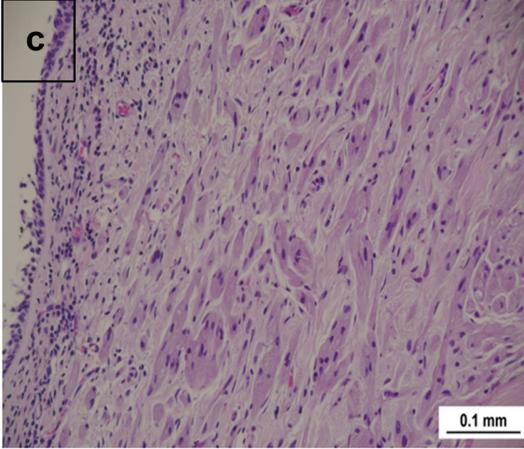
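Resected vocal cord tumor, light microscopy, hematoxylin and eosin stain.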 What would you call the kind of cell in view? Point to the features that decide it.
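The cells have broad pink cytoplasm. Nuclei are small and dark relative to the cytoplasm.
Conclusion: polygonal cells with abundant eosinophilic cytoplasm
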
